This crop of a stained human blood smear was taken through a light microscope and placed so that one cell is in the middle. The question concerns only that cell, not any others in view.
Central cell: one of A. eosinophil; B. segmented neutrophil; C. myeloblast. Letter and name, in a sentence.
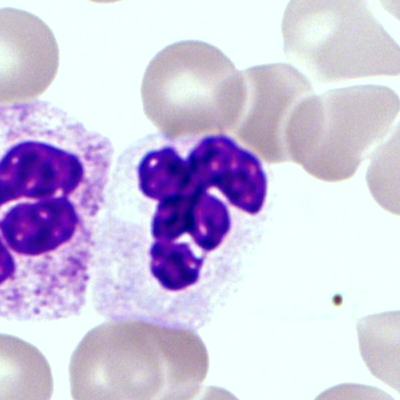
Since the middle cell is a segmented neutrophil, option B is the right one.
